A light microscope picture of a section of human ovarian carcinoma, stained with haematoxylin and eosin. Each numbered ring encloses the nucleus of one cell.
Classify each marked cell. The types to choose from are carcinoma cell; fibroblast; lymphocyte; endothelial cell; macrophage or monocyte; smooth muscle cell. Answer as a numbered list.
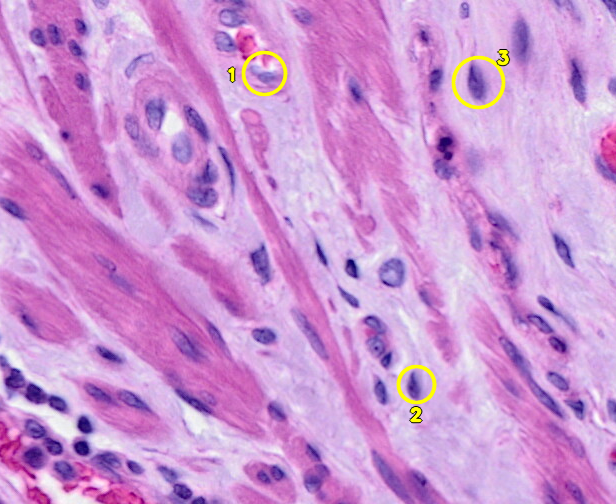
1. endothelial cell
2. fibroblast
3. fibroblast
